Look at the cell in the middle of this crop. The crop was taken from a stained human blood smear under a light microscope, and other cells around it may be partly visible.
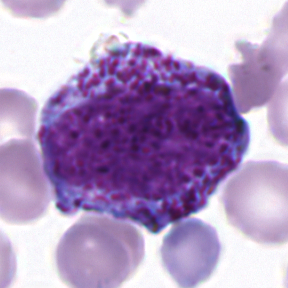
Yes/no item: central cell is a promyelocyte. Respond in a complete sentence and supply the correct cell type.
Yes, the cell in the middle has the identity of a promyelocyte.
